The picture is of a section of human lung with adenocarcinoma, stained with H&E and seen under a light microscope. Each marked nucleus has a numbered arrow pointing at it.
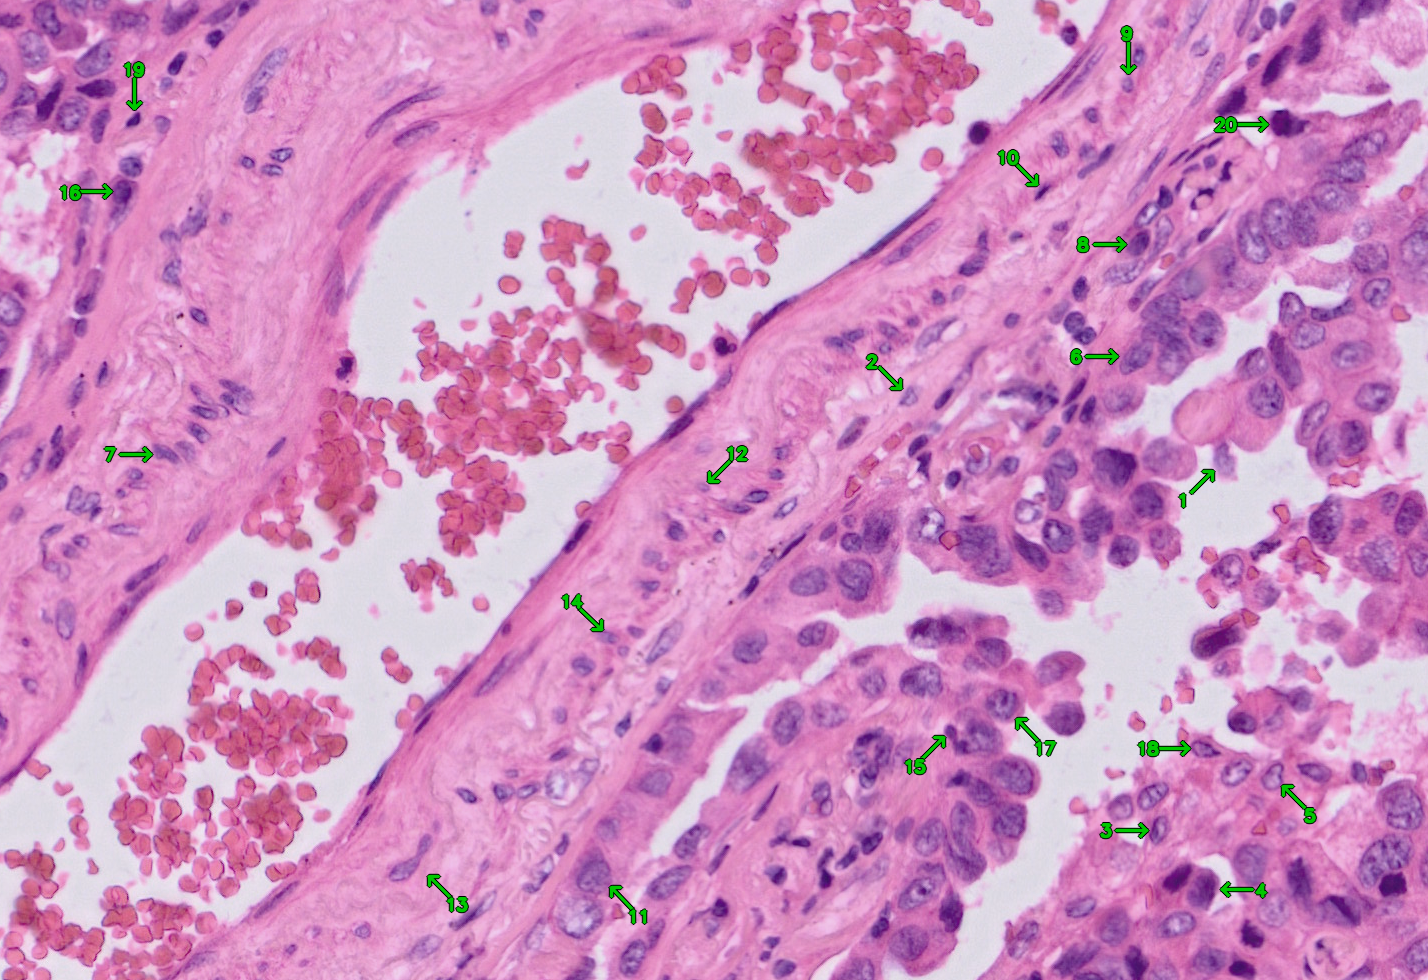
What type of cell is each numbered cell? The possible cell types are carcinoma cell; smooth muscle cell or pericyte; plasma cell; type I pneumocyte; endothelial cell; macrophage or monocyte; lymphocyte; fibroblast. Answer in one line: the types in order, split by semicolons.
carcinoma cell; fibroblast; macrophage or monocyte; carcinoma cell; macrophage or monocyte; carcinoma cell; smooth muscle cell or pericyte; plasma cell; smooth muscle cell or pericyte; smooth muscle cell or pericyte; carcinoma cell; smooth muscle cell or pericyte; smooth muscle cell or pericyte; smooth muscle cell or pericyte; lymphocyte; plasma cell; carcinoma cell; macrophage or monocyte; lymphocyte; carcinoma cell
